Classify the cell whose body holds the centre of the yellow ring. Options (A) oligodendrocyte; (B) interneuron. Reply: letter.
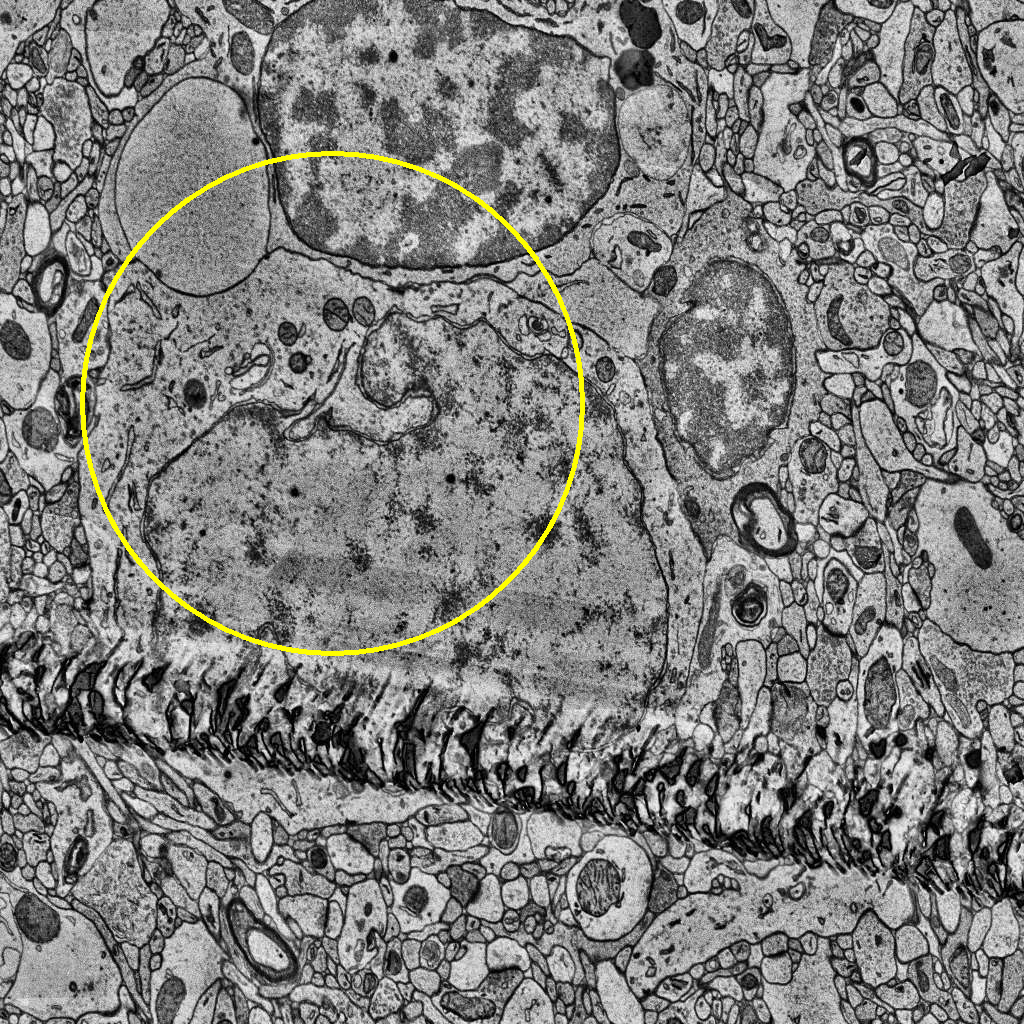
B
